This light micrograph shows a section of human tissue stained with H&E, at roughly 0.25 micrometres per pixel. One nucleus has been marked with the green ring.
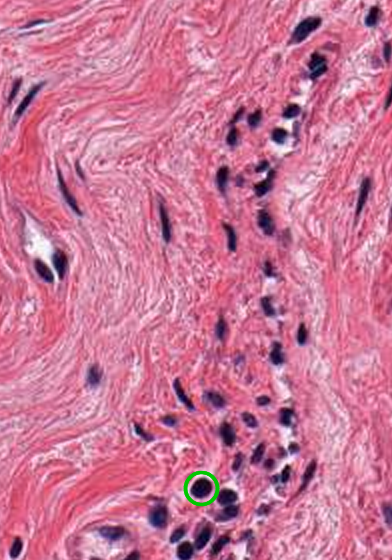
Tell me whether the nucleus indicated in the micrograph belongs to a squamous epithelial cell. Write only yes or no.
no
